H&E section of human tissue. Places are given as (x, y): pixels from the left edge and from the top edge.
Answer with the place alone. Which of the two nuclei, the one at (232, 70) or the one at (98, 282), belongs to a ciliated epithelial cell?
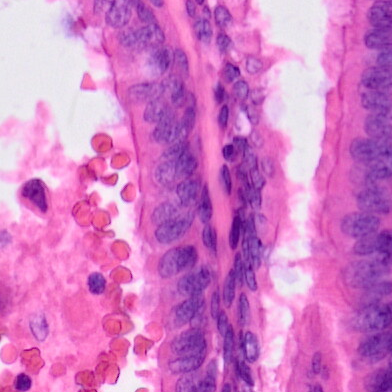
(232, 70)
